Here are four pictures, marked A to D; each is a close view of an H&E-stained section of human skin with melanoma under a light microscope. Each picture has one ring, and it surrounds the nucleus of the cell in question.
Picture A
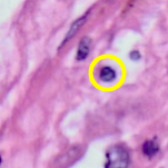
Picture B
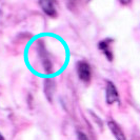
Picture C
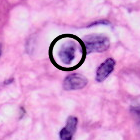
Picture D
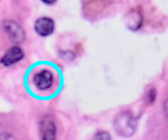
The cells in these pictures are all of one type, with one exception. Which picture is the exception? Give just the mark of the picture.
B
